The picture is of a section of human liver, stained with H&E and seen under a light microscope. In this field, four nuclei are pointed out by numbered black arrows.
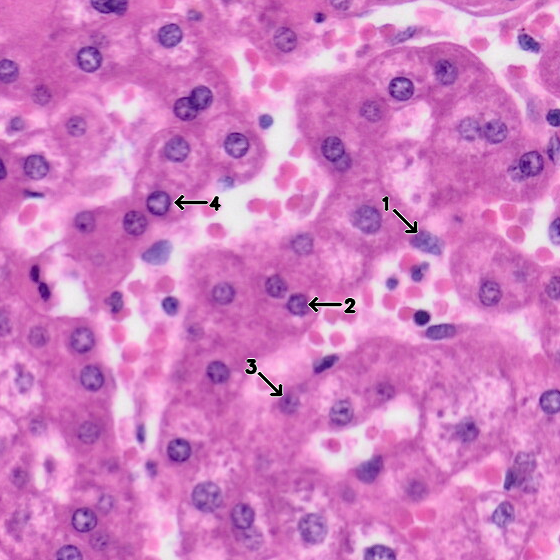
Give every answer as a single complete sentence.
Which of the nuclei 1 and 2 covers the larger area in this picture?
It is nucleus 1, which covers about 1.5 times the area of nucleus 2.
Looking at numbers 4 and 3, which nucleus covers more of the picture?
Number 4 is larger; its area is about 2 times that of number 3.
